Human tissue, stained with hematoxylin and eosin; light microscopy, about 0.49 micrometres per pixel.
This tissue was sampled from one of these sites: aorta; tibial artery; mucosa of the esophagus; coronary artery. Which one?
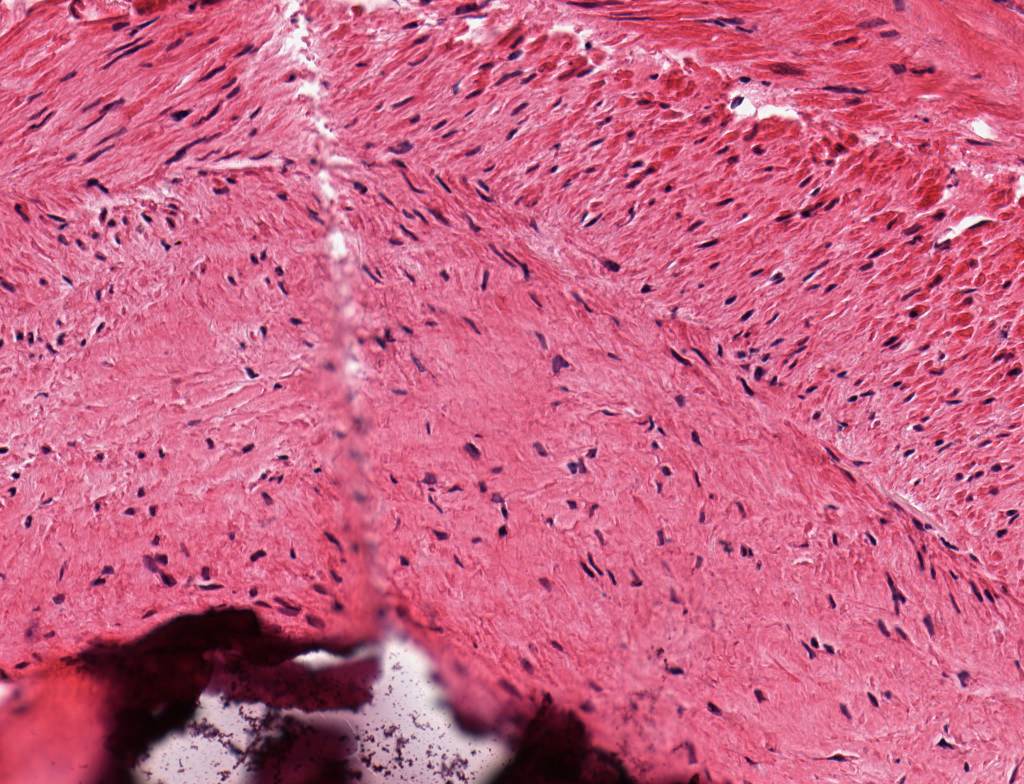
coronary artery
